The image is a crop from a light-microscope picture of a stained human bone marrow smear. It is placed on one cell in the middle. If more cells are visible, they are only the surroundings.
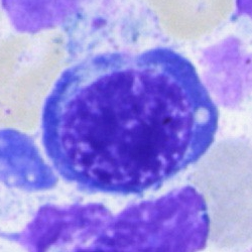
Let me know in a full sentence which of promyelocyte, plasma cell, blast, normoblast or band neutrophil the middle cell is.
The cell positioned in the middle of the field is a normoblast.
